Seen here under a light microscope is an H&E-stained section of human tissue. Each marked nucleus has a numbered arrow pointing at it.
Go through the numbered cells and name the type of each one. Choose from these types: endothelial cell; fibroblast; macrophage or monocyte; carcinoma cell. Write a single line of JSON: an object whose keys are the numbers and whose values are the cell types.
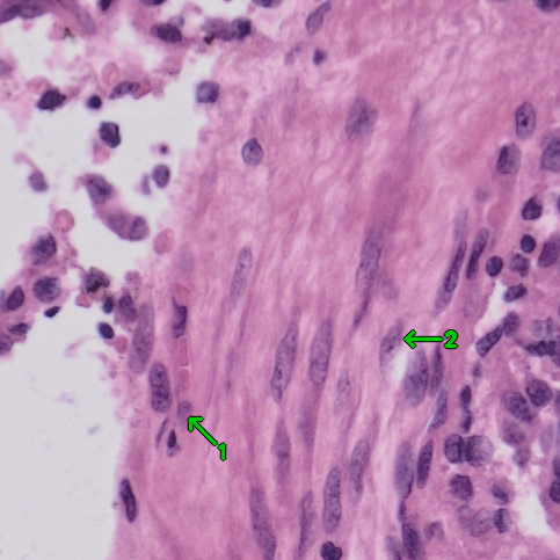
{"1": "endothelial cell", "2": "fibroblast"}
